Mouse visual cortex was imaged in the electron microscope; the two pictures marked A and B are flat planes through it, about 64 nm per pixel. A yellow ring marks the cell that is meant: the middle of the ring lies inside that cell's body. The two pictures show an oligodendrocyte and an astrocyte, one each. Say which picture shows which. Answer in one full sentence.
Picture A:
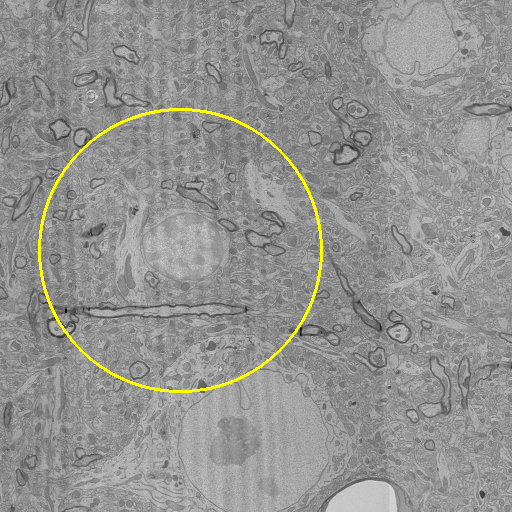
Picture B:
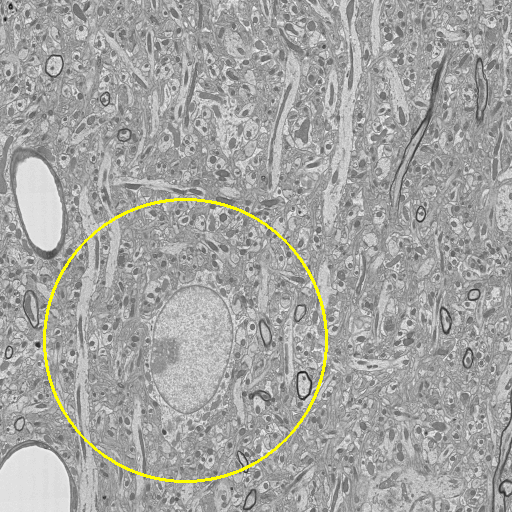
Picture A is of an oligodendrocyte, and picture B is of an astrocyte.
